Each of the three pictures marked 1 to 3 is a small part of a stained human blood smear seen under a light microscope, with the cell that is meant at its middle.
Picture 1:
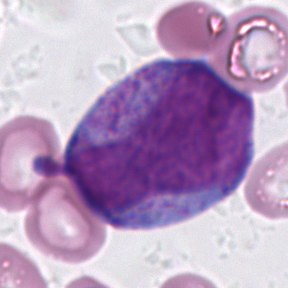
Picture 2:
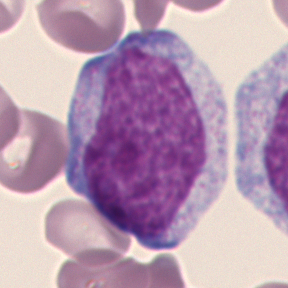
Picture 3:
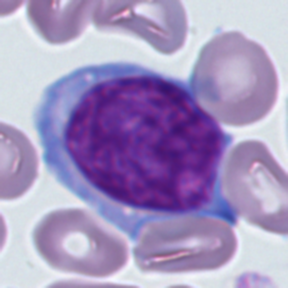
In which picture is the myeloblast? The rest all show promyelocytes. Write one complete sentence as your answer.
The myeloblast is the one in picture 3.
